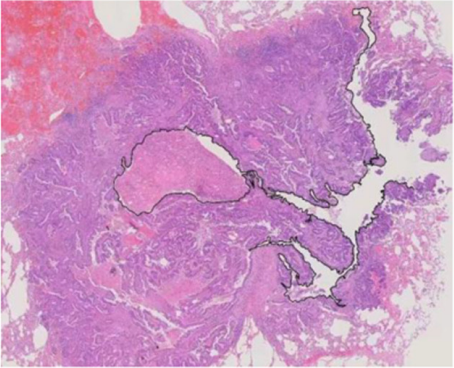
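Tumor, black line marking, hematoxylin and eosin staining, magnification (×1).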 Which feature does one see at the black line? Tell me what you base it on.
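The space is surrounded by densely packed purple tumor tissue. That points to this answer: cystic space.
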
